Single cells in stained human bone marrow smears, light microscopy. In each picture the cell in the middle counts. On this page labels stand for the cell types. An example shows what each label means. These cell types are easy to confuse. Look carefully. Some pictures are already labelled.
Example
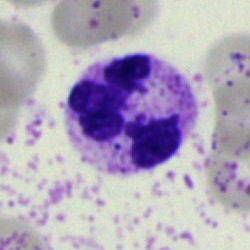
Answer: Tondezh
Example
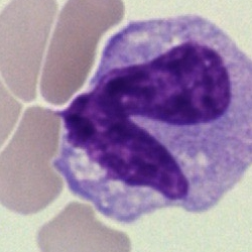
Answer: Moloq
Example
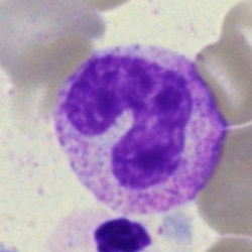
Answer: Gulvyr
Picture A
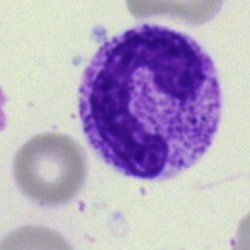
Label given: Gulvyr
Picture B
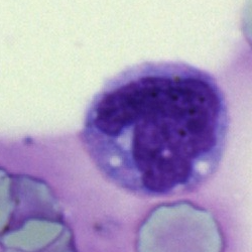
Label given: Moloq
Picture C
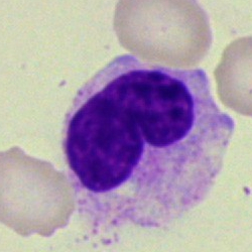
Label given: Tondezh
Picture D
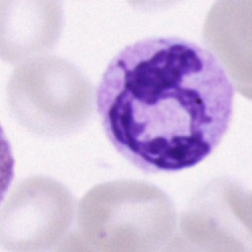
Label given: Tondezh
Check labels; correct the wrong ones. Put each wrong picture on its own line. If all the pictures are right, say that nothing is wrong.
Wrong: C (Tondezh); correct: Gulvyr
